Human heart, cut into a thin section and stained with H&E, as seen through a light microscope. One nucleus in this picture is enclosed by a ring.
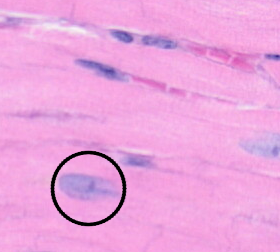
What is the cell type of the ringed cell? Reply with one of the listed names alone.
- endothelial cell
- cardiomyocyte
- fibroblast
cardiomyocyte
